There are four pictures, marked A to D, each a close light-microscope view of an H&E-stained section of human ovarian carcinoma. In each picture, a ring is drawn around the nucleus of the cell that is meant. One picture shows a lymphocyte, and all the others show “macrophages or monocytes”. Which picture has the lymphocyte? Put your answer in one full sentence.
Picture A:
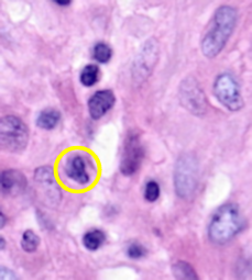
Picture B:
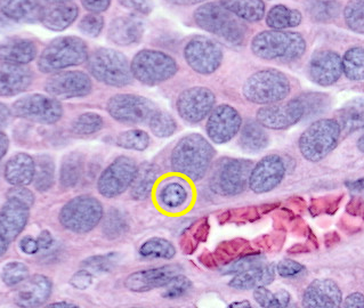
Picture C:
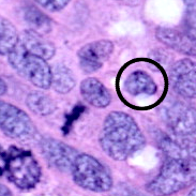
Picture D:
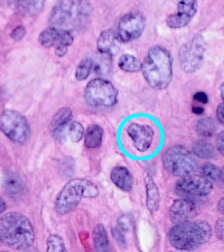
The lymphocyte is the one in picture A.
